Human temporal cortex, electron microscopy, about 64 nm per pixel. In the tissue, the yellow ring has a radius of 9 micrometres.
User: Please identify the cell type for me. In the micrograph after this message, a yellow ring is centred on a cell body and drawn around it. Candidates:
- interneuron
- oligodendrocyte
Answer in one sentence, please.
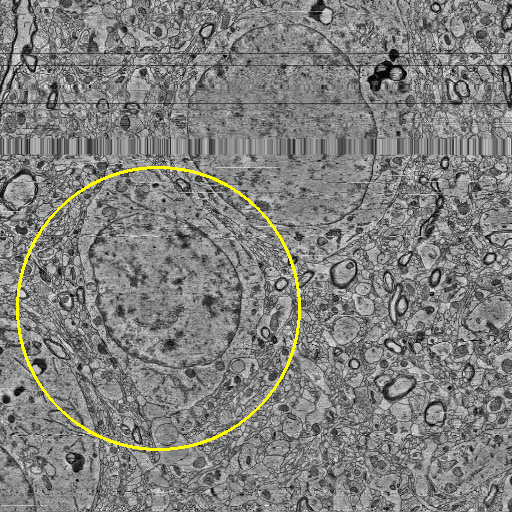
The ring is drawn around the cell body of an interneuron.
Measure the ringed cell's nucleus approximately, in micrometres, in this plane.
Approximately 11 micrometres long and 9 micrometres wide, in this plane.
